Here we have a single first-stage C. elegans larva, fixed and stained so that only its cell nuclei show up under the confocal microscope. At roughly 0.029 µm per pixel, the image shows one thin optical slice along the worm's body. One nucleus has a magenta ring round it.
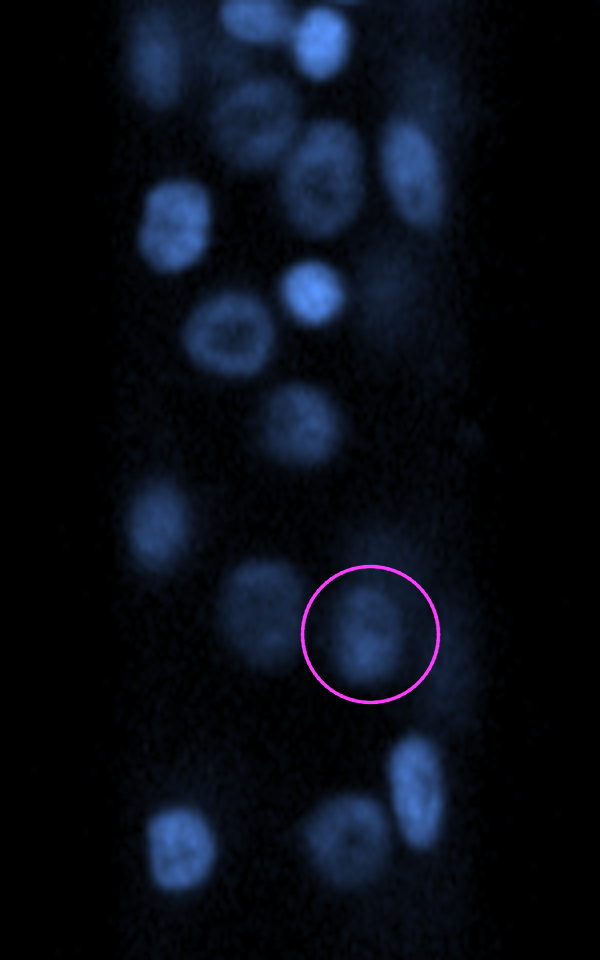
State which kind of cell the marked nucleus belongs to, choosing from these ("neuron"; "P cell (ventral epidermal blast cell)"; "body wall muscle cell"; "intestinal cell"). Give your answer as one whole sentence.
This is the nucleus of a P cell (ventral epidermal blast cell).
